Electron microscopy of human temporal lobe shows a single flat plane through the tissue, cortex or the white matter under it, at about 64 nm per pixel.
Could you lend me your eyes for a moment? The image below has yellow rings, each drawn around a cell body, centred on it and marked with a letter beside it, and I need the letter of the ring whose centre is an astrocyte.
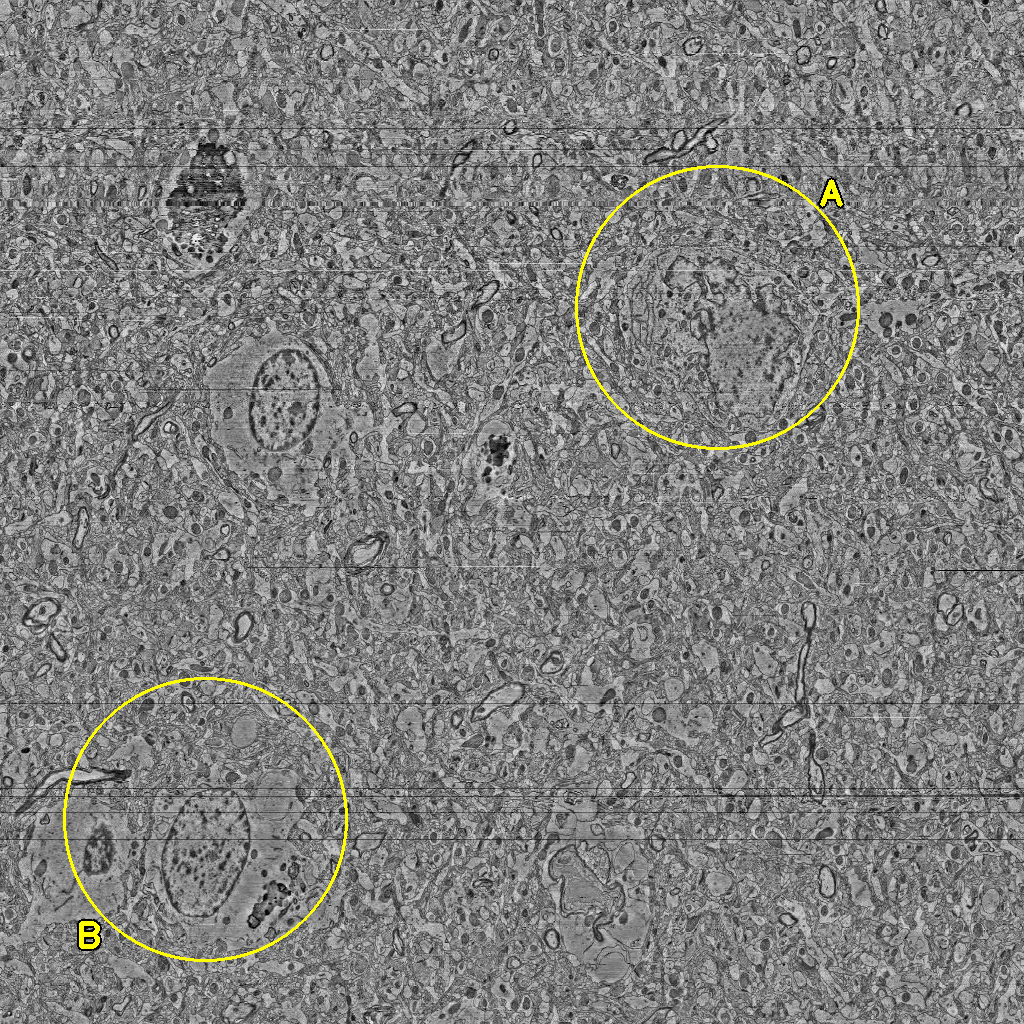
B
